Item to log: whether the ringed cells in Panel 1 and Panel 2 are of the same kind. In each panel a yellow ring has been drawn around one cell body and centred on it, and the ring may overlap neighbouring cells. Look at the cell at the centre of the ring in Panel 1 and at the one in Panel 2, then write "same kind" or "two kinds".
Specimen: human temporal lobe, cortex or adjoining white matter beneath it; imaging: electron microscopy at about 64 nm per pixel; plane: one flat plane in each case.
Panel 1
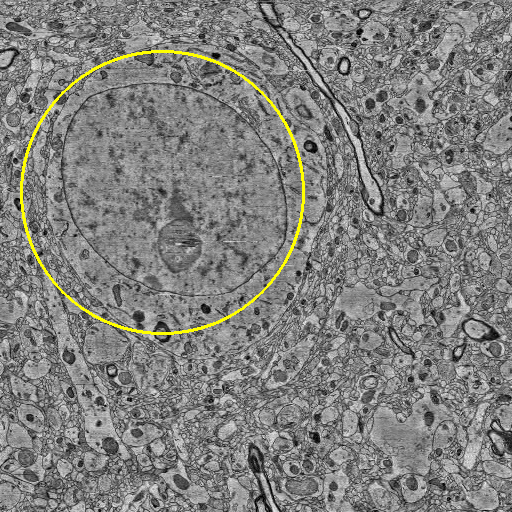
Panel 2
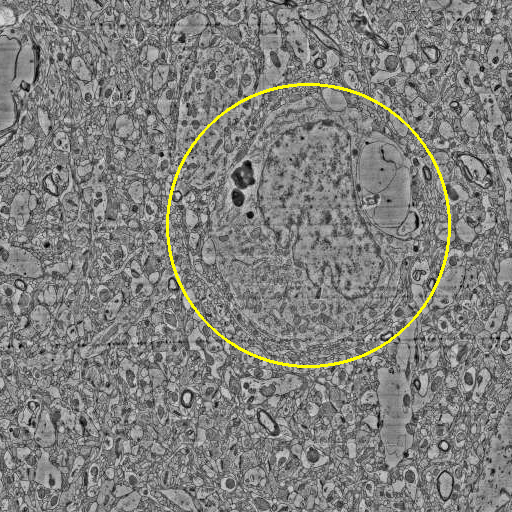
two kinds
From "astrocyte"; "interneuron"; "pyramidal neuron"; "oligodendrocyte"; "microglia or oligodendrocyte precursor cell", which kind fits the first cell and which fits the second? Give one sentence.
The cell marked in the first picture is a pyramidal neuron, and the one marked in the second is an interneuron.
